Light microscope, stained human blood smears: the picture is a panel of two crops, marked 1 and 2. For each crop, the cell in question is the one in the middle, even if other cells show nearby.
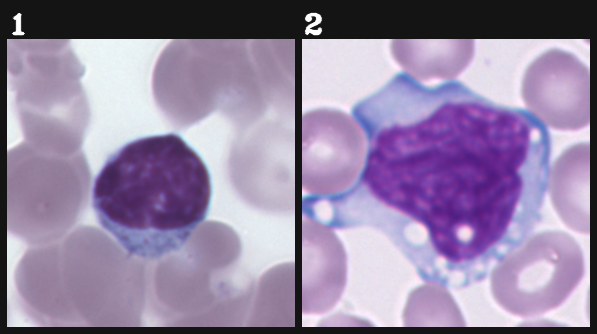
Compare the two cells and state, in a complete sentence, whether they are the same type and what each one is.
No, while a typical lymphocyte is found in crop 1, a myeloblast is found in crop 2.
